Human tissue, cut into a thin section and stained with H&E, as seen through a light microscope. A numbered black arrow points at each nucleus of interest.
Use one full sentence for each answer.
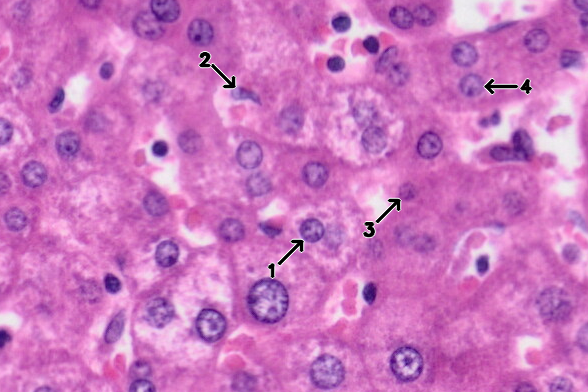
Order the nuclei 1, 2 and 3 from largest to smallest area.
Largest first, the order by area is 1, 2, 3.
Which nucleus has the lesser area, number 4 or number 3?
With nucleus 4 about 1.5 times its size, nucleus 3 is the smaller of the two.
